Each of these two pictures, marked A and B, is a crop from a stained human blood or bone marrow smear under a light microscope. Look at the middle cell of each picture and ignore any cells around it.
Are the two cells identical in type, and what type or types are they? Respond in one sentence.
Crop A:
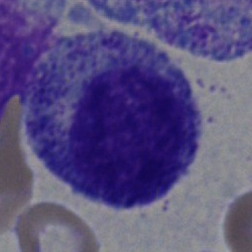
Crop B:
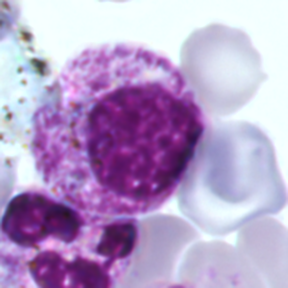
Yes, in the two crops, myelocytes are the cells at the centre.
